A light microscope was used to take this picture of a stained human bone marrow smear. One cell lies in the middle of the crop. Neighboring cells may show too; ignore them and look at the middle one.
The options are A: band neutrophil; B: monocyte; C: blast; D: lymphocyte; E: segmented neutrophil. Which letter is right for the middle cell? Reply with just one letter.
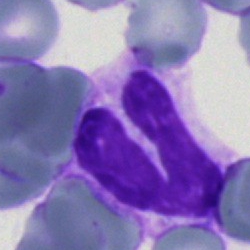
A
